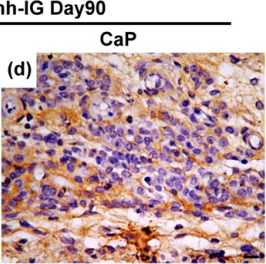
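Crowded cells with blue, round to oval nuclei form sheets and small nests. Brown staining lies in the cytoplasm and in the loose tissue between the cell clusters. Normal lumens lined by a single layer of epithelium are not seen.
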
